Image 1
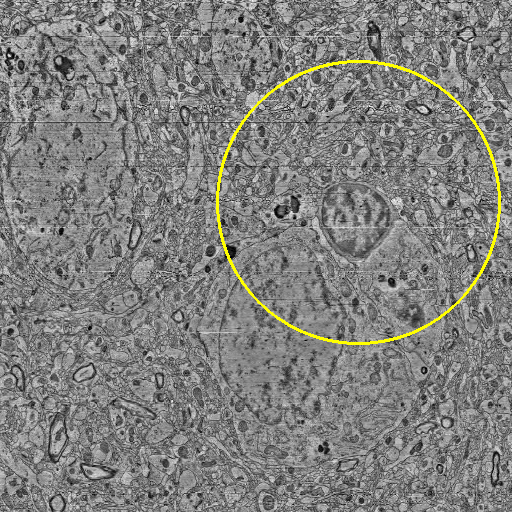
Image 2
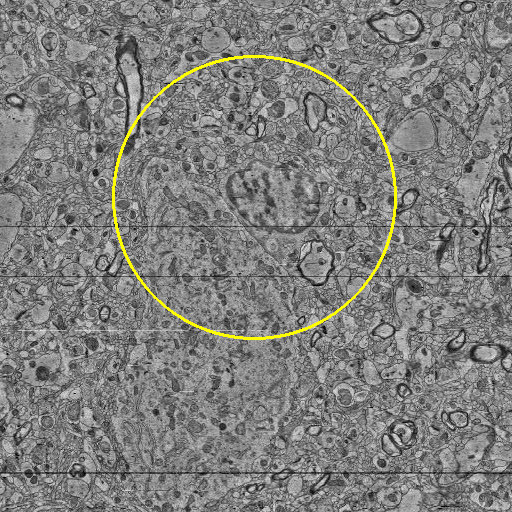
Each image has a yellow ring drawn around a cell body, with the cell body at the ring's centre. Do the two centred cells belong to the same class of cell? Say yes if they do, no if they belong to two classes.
yes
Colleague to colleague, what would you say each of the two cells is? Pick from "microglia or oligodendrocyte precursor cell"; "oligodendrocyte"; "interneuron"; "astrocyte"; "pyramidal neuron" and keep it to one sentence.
Both rings mark an oligodendrocyte, one in each picture.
